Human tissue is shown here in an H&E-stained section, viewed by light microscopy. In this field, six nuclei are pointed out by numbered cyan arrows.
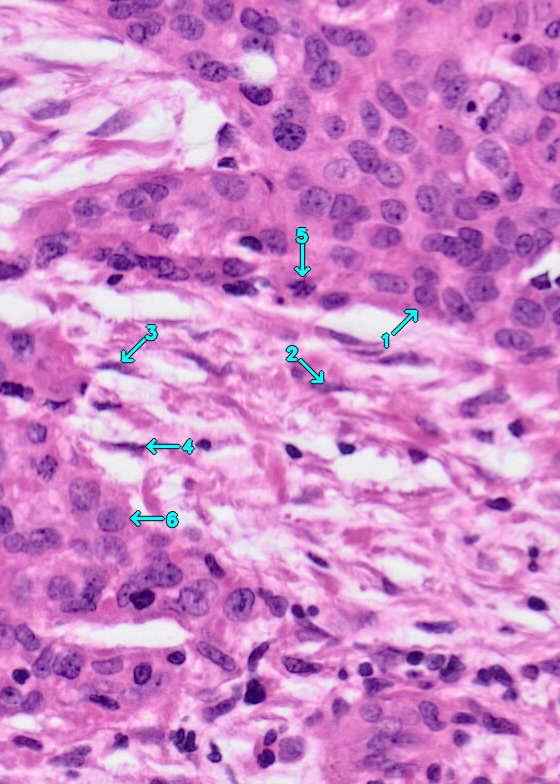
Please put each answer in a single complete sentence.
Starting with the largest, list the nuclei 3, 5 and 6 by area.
From largest to smallest, the order is 6, 5, 3.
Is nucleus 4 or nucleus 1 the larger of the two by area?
The larger nucleus is 1, at roughly 2 times the area of 4.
